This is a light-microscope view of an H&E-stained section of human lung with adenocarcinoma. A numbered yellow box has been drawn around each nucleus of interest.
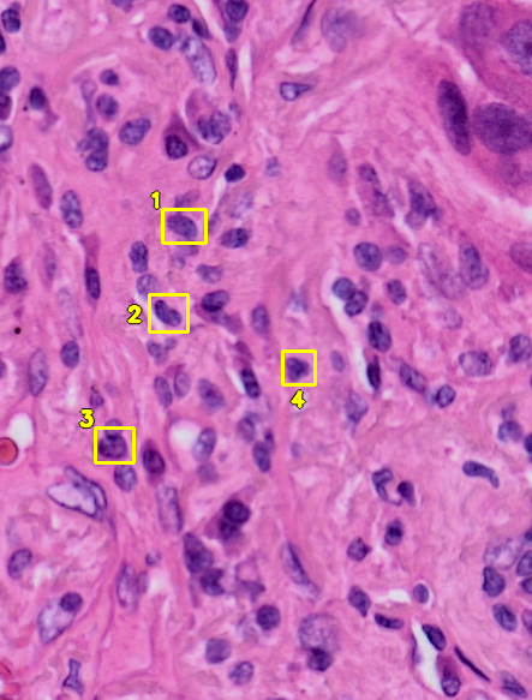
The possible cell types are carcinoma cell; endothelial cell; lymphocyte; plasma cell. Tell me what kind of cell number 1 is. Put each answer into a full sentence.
The nucleus labeled 1 belongs to a lymphocyte.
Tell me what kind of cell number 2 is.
The cell tagged with 2 in this tissue section is a lymphocyte.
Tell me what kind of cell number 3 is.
The mark numbered 3 indicates the nucleus of a plasma cell.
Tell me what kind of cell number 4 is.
The cell pointed out as number 4 is a lymphocyte.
